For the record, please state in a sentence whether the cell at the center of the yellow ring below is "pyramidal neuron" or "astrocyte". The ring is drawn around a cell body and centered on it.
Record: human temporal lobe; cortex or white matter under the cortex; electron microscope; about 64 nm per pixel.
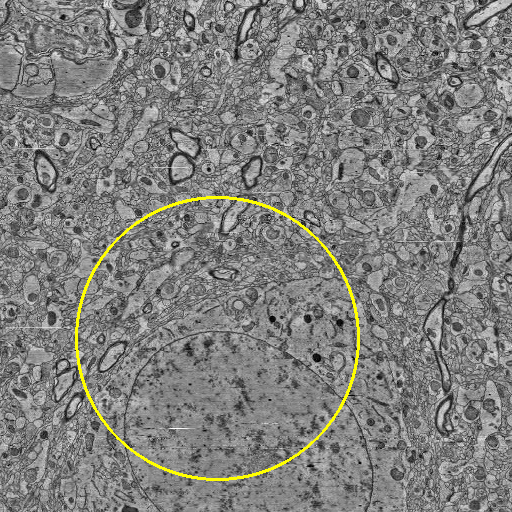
The cell at the ring's center is a pyramidal neuron.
